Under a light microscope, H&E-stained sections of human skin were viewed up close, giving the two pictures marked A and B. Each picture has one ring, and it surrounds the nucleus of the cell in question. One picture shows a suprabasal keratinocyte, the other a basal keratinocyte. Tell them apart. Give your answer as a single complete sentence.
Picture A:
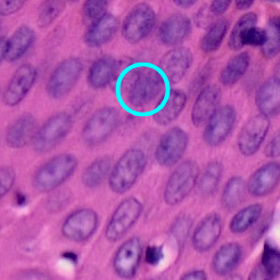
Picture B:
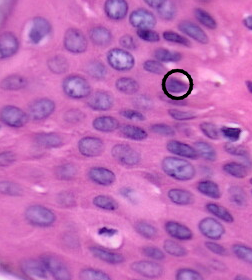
In picture A the cell is a suprabasal keratinocyte; in picture B, a basal keratinocyte.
